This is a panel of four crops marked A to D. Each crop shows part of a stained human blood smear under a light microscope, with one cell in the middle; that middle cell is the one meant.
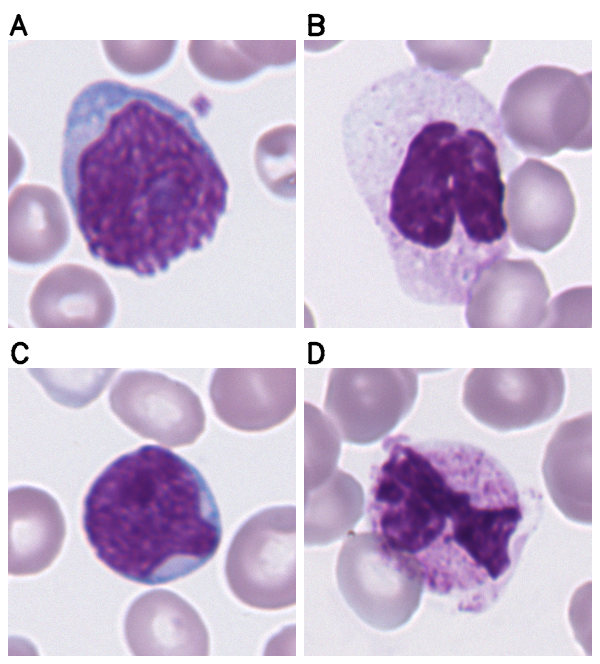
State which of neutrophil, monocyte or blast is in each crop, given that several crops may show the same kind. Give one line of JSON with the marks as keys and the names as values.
{"A": "blast", "B": "neutrophil", "C": "blast", "D": "neutrophil"}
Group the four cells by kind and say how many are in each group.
blast: 2
neutrophil: 2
